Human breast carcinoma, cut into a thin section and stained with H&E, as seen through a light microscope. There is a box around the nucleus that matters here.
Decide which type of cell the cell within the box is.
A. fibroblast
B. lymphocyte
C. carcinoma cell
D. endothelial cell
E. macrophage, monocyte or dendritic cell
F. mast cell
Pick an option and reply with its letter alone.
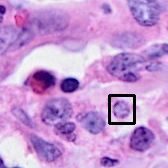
E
